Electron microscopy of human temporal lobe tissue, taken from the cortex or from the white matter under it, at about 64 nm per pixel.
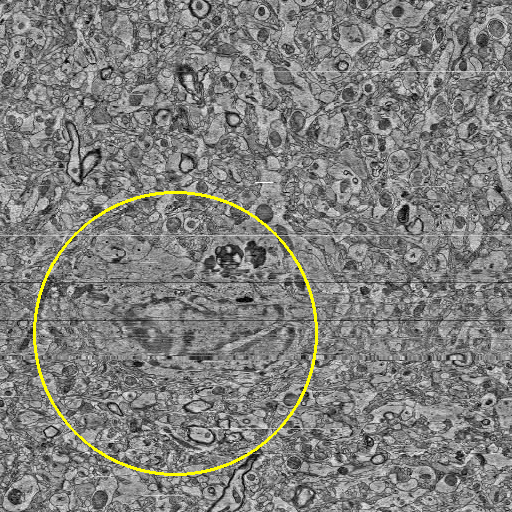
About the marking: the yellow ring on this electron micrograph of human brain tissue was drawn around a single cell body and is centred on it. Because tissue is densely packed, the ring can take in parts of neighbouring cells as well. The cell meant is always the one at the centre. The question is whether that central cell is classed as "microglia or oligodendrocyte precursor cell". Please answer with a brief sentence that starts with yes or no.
Yes, the central cell is classed that way.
